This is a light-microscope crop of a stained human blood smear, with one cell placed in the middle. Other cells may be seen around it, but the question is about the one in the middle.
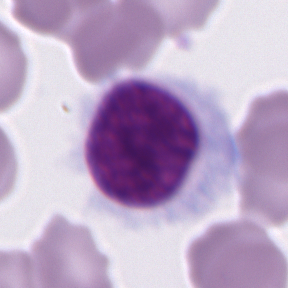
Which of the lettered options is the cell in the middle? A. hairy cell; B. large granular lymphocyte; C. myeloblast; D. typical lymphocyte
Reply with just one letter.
A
